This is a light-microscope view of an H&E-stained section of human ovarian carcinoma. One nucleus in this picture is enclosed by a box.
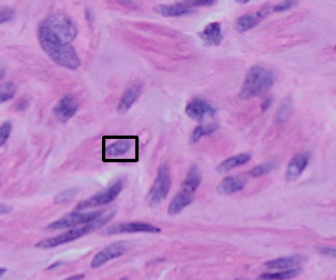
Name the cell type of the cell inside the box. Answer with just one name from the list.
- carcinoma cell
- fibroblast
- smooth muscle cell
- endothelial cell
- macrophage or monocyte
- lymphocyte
smooth muscle cell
